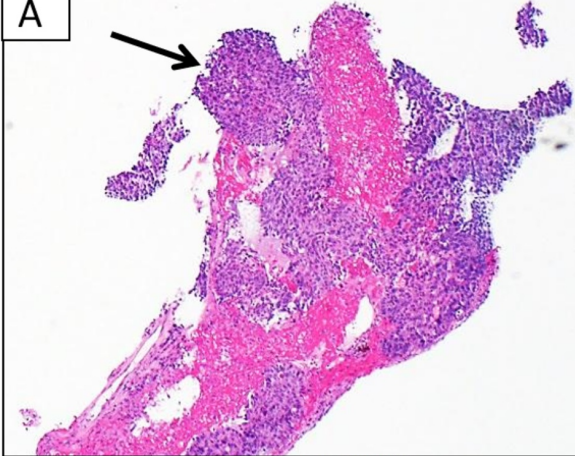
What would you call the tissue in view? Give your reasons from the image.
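A fragment densely packed with purple-staining cells. Pink areas of blood lie between and beside the cellular areas.
Cellular tumor tissue admixed with blood.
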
